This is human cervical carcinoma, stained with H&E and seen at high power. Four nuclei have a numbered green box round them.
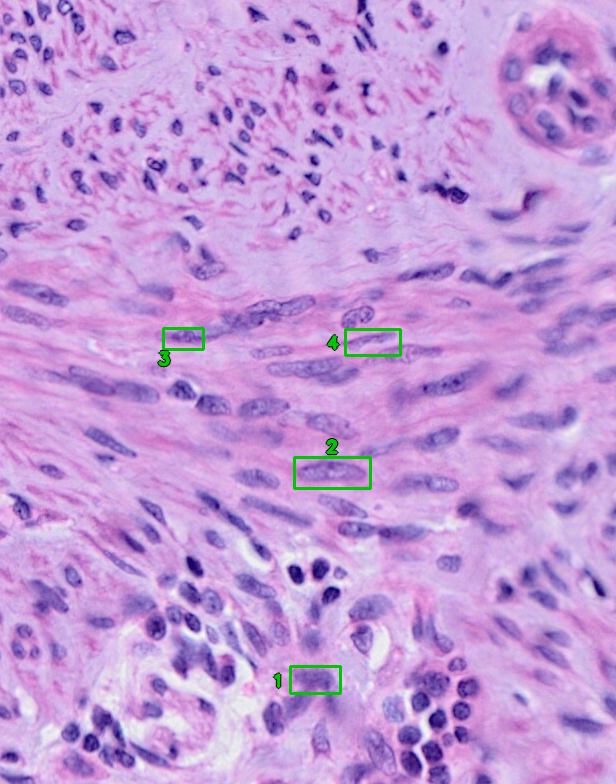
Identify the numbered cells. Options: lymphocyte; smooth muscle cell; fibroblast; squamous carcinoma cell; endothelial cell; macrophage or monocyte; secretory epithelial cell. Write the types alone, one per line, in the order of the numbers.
fibroblast
smooth muscle cell
smooth muscle cell
smooth muscle cell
